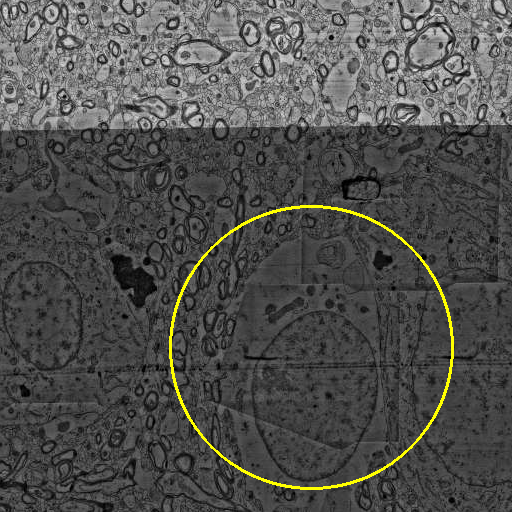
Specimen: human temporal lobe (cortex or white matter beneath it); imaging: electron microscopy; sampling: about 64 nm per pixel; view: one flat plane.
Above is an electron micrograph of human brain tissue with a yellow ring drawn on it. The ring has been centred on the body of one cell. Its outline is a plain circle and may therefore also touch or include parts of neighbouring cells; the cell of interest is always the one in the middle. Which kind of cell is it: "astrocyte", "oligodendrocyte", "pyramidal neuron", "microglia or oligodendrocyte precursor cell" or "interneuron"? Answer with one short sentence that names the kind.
The ring's central cell body is that of an astrocyte.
